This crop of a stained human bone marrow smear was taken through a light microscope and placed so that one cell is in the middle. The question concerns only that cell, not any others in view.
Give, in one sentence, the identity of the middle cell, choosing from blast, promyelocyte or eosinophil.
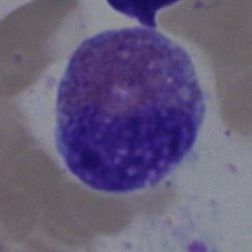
The cell in the middle of this crop is an eosinophil.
